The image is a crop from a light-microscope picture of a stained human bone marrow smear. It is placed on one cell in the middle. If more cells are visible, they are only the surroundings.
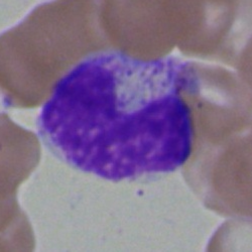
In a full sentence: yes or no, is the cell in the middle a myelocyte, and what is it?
No, instead of a myelocyte, the middle cell is a metamyelocyte.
